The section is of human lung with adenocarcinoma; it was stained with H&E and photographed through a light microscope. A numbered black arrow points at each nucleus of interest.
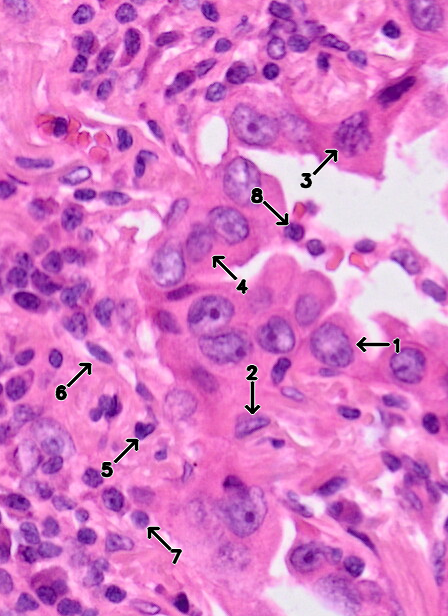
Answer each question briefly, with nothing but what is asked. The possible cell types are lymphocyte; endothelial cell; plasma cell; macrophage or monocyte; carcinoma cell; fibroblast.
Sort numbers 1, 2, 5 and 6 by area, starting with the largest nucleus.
1, 2, 6, 5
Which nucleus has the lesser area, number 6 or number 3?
6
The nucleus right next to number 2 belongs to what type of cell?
lymphocyte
